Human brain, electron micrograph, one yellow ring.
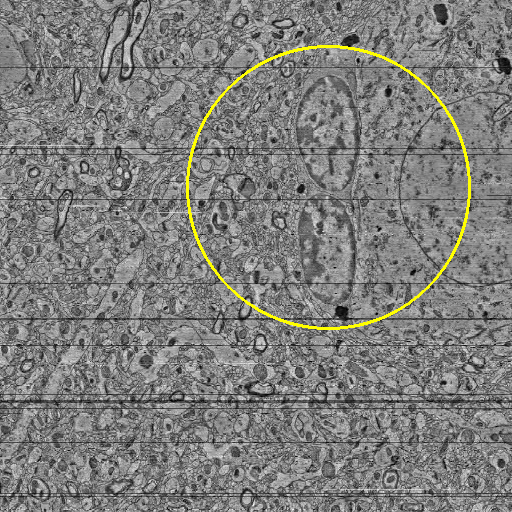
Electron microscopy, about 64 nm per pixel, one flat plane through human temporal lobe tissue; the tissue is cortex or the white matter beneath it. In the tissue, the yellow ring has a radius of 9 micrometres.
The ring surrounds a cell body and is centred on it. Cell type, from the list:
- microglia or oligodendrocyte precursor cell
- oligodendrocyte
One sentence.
The yellow ring circles an oligodendrocyte.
